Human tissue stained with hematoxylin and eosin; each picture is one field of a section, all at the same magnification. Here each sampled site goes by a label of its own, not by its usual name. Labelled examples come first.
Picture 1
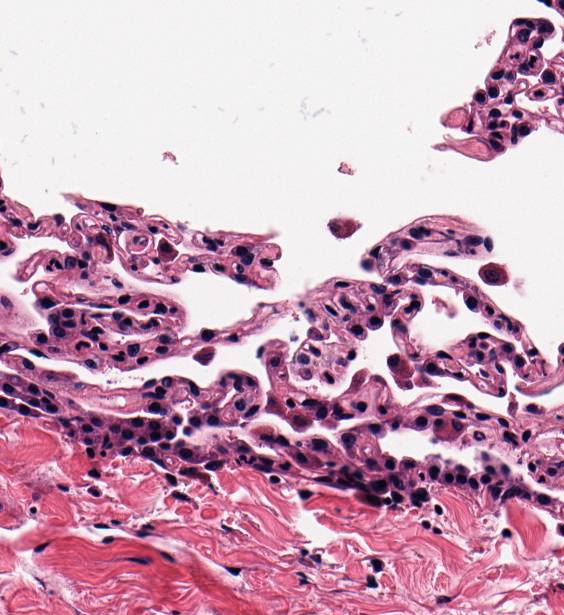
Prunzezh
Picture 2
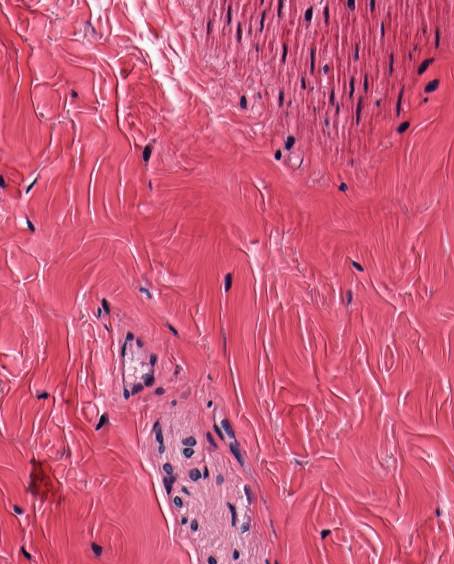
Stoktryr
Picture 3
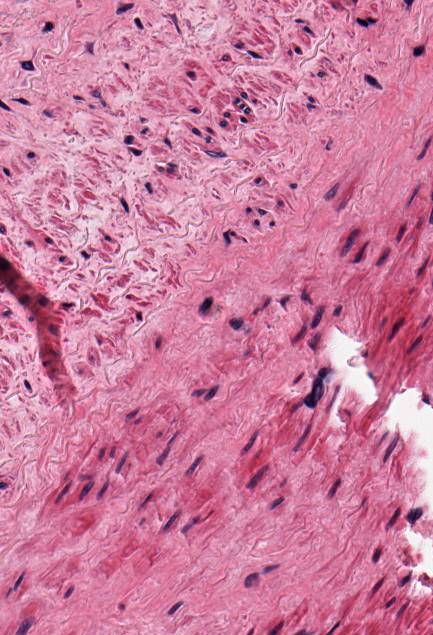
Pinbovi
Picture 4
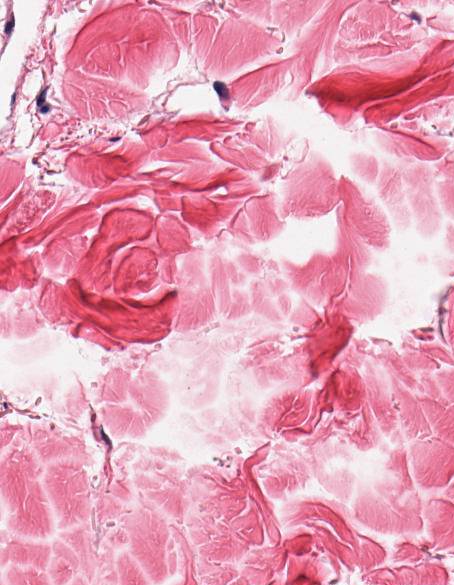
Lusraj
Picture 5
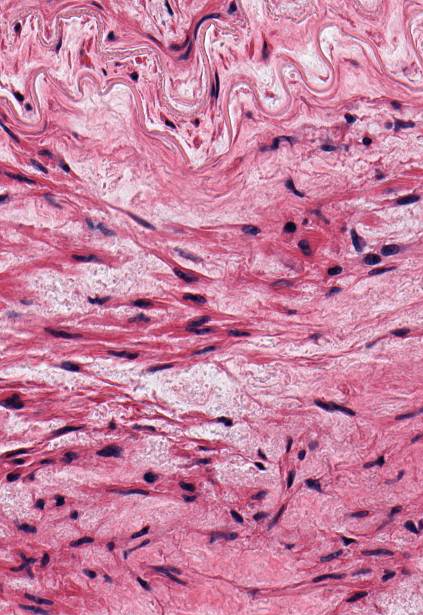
Pinbovi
